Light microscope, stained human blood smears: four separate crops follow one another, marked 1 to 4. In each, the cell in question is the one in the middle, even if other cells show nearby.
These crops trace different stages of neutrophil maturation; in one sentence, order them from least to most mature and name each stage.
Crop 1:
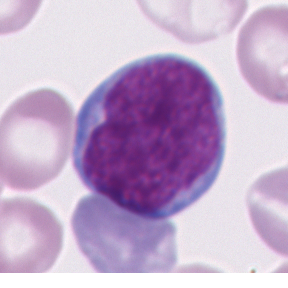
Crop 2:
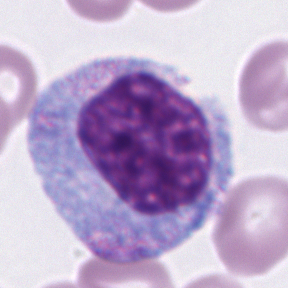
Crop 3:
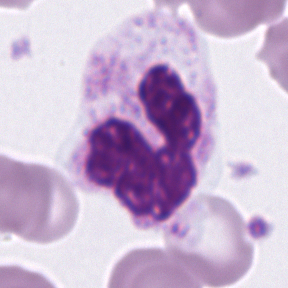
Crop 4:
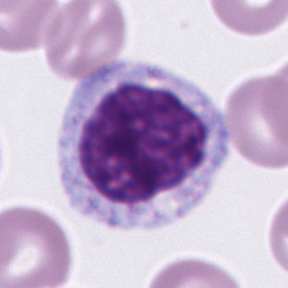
In order of increasing maturity, the crops run crop 1 (a myeloblast), crop 2 (a promyelocyte), crop 4 (a metamyelocyte) and crop 3 (a segmented neutrophil).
